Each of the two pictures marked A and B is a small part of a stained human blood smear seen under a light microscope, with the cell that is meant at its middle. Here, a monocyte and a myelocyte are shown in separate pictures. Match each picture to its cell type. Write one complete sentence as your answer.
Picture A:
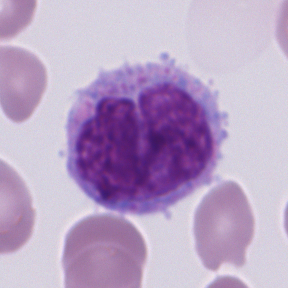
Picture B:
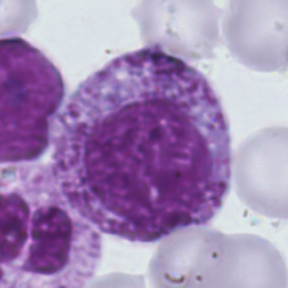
It is picture A that shows a monocyte, and picture B that shows a myelocyte.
